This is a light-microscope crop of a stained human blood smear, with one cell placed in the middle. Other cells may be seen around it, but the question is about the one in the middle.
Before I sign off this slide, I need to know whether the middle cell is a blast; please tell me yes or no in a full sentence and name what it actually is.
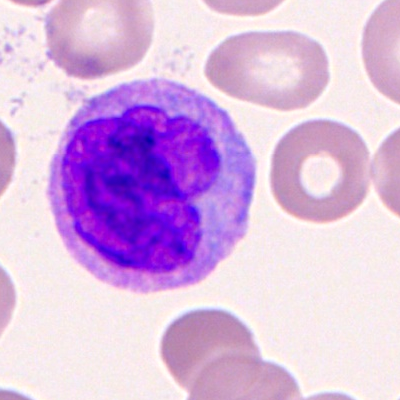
No, the central cell is not a blast; it is a monocyte instead.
